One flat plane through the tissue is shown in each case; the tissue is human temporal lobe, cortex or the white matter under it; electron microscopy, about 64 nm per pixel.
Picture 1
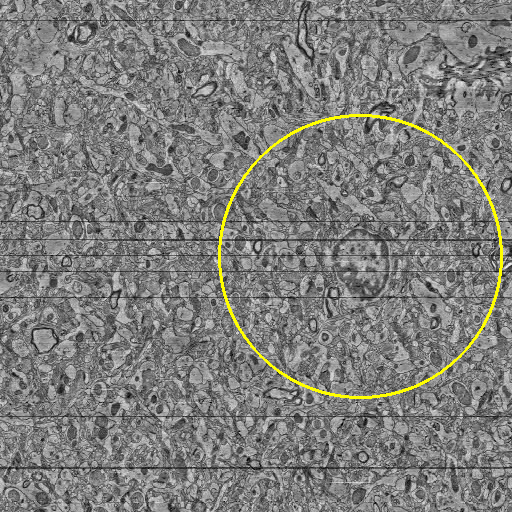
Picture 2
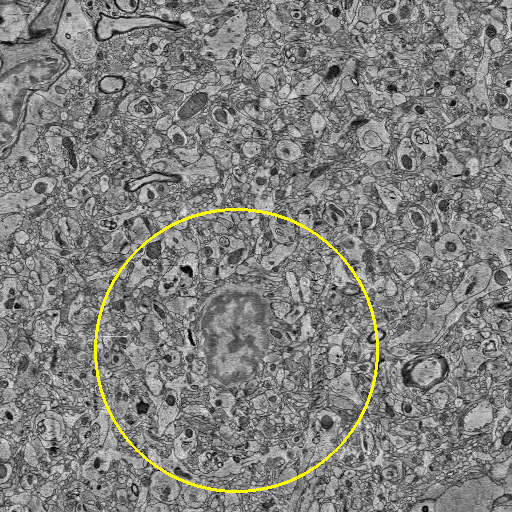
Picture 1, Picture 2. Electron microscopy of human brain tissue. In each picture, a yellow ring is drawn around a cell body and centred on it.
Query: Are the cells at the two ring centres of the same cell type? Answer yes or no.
no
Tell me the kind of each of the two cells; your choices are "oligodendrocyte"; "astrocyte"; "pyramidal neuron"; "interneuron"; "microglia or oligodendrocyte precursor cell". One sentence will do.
The ringed cell is a microglial cell or oligodendrocyte precursor cell in the first picture and an oligodendrocyte in the second picture.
